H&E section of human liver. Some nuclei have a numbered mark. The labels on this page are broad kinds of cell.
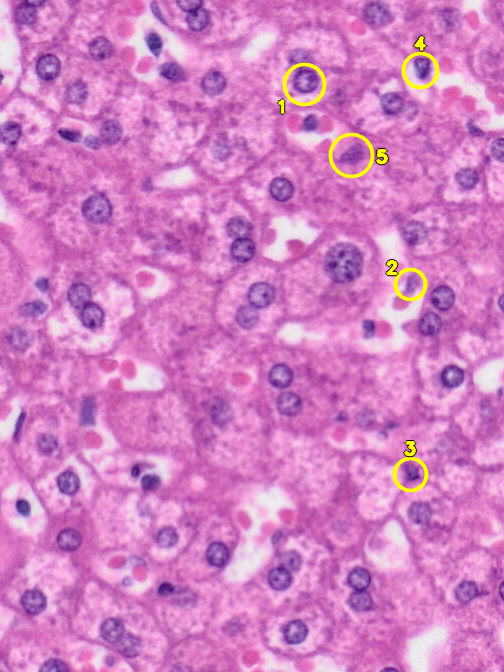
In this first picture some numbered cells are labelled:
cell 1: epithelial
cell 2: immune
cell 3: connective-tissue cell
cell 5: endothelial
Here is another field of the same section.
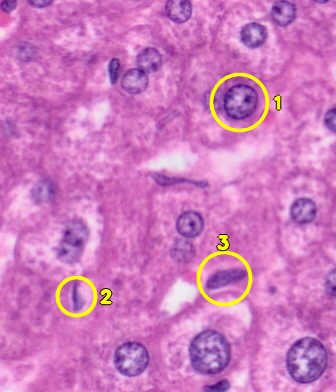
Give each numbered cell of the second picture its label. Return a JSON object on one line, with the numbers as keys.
{"1": "epithelial", "2": "endothelial", "3": "immune"}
